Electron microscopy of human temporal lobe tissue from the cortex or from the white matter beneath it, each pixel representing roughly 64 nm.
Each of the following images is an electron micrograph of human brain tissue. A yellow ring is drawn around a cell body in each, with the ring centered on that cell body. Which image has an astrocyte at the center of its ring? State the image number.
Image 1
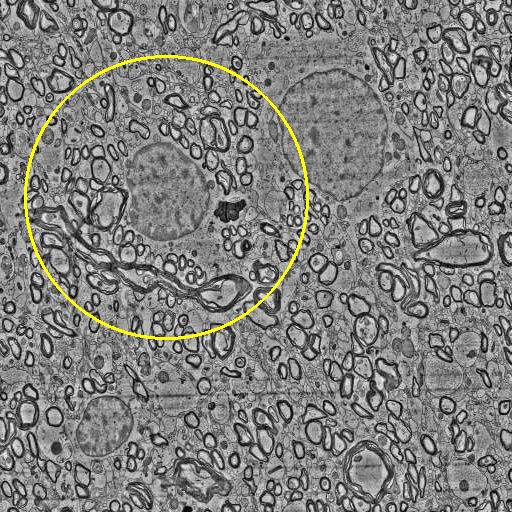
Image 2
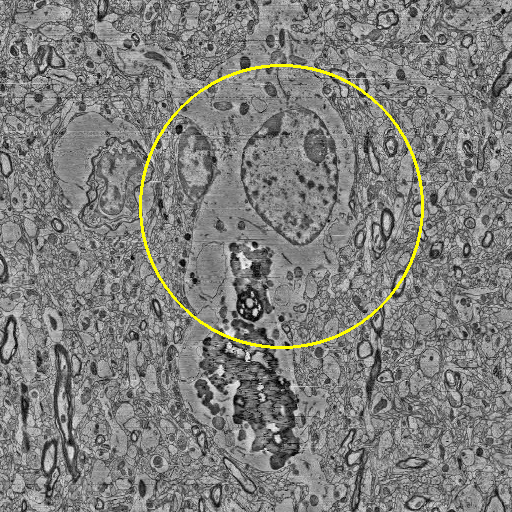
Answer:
2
